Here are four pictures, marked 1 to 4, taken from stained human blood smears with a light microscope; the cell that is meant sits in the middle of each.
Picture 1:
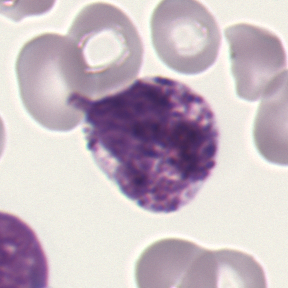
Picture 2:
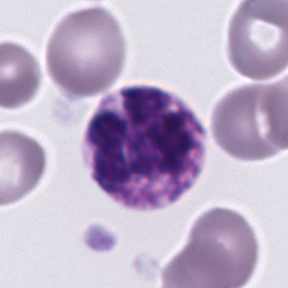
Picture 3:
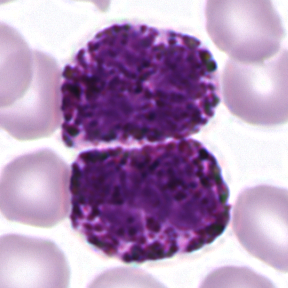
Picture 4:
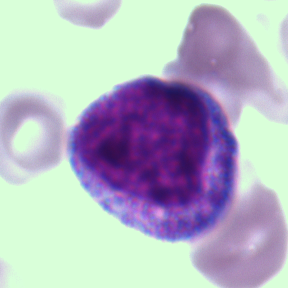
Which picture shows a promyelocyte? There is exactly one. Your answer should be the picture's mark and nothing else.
4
